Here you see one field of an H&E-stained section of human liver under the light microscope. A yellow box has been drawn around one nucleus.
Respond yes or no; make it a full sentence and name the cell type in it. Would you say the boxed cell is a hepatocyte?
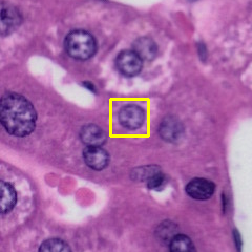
Yes, it holds that the boxed cell is a hepatocyte.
